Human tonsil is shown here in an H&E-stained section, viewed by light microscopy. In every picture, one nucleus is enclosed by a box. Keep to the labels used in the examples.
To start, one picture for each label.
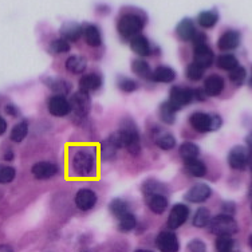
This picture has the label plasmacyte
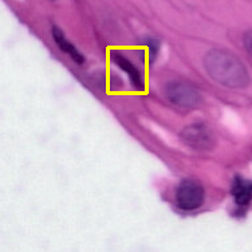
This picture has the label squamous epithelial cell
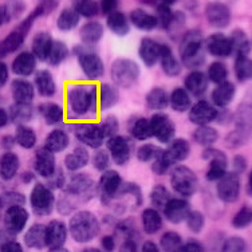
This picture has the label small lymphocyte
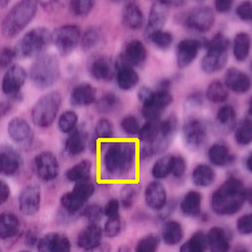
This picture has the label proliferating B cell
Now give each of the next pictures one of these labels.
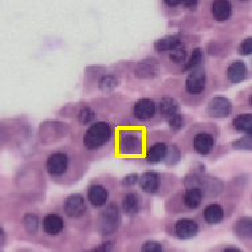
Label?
plasmacyte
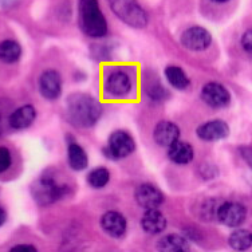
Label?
plasmacyte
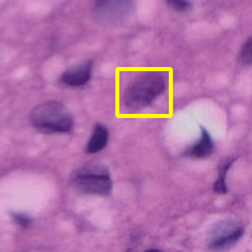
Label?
squamous epithelial cell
